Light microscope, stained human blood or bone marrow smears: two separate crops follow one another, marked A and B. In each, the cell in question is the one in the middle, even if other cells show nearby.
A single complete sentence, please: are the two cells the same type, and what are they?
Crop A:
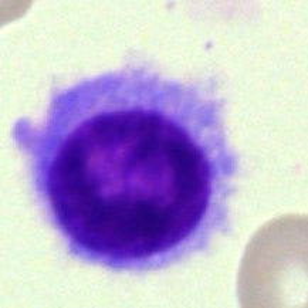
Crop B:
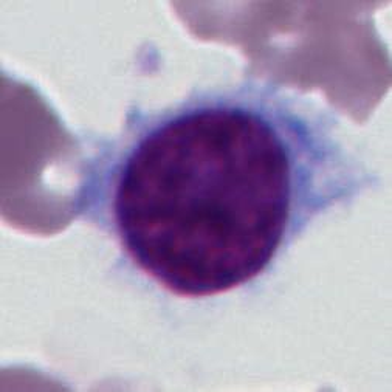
Yes, they do, both crops show hairy cells.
